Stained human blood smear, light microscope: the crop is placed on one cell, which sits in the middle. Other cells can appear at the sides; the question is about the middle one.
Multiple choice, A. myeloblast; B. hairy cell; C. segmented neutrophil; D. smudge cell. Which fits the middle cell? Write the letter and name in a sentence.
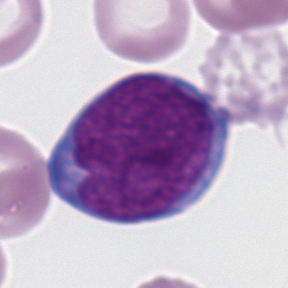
The correct identification, given in option A, is that the central cell is a myeloblast.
